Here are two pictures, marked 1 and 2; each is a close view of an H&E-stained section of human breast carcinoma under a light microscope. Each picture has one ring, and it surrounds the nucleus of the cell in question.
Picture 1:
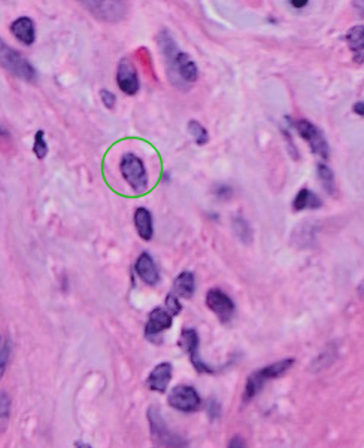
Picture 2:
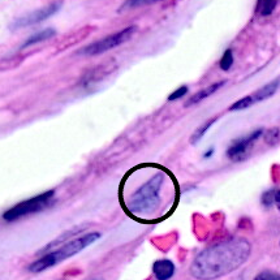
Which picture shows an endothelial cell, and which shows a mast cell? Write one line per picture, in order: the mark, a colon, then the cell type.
1: mast cell
2: endothelial cell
